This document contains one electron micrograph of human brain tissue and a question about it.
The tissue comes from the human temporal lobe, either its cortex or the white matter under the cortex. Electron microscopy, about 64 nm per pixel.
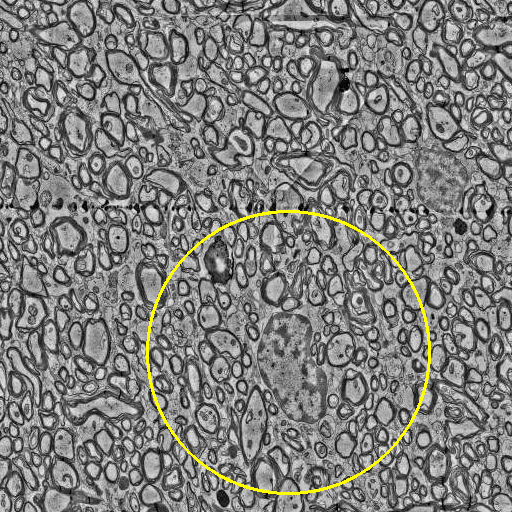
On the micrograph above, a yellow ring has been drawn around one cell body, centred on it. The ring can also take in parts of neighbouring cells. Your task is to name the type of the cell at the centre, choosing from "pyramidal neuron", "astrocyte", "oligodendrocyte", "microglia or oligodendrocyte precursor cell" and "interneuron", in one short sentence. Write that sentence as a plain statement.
Here the ring is centred on a microglial cell or oligodendrocyte precursor cell.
